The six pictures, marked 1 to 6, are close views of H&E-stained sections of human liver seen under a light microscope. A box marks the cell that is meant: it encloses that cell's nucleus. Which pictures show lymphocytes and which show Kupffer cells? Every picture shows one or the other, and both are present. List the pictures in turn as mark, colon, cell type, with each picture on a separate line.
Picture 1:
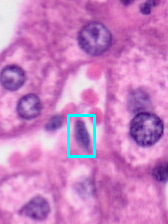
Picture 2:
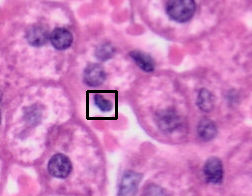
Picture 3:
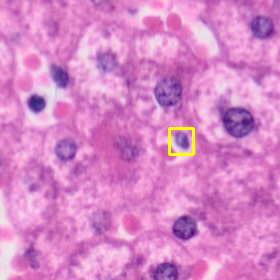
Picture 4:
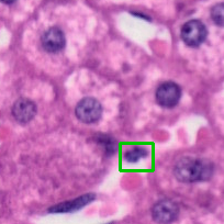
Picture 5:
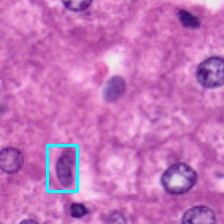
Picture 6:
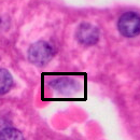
1: Kupffer cell
2: lymphocyte
3: lymphocyte
4: lymphocyte
5: Kupffer cell
6: Kupffer cell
